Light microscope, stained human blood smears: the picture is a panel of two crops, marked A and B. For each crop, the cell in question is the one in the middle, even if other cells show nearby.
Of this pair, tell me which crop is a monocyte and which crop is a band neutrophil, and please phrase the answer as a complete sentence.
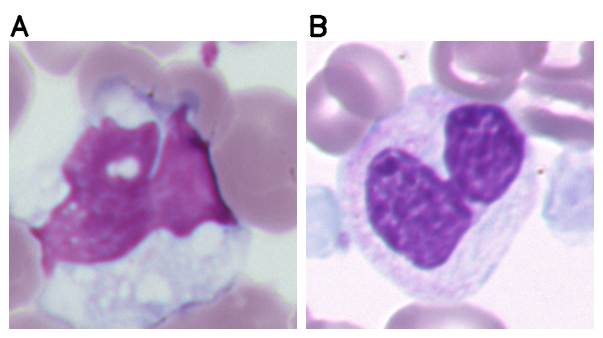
Well, crop A is a monocyte, and crop B is a band neutrophil.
